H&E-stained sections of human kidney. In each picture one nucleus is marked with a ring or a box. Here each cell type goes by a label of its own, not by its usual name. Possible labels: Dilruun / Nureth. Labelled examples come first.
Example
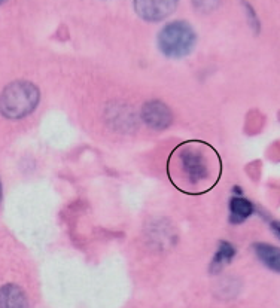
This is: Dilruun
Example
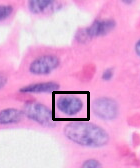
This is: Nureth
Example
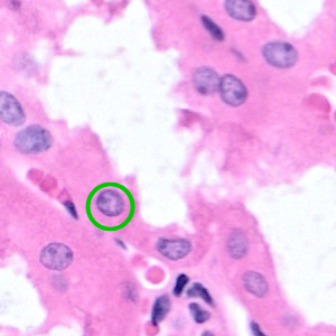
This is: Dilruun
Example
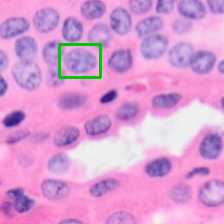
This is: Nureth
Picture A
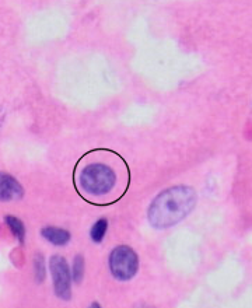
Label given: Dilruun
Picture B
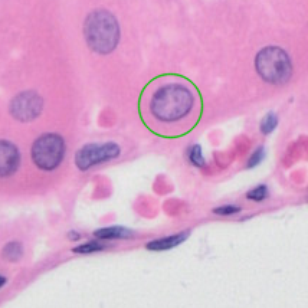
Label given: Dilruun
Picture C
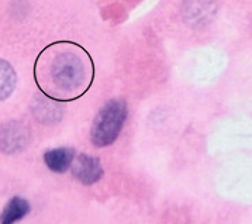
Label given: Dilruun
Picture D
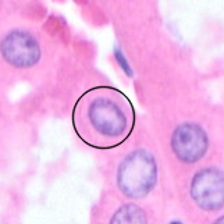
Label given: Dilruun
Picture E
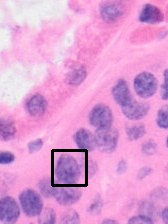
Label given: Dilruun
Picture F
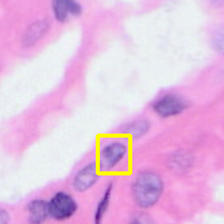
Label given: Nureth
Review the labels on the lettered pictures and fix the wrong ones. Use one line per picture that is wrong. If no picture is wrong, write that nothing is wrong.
E should be Nureth, not Dilruun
